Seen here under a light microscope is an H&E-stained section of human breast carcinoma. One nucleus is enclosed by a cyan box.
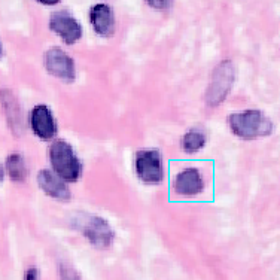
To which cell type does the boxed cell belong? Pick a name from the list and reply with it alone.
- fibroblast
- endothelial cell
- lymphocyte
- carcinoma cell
lymphocyte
